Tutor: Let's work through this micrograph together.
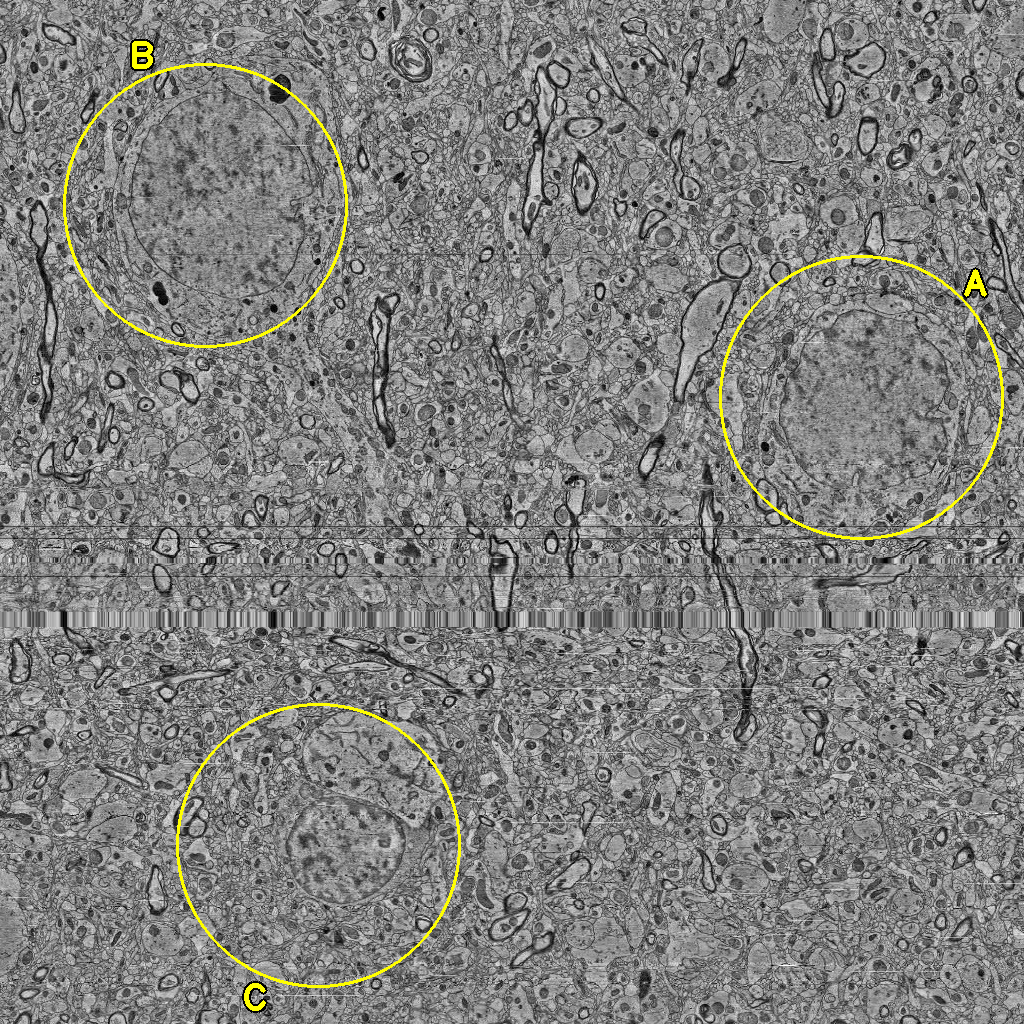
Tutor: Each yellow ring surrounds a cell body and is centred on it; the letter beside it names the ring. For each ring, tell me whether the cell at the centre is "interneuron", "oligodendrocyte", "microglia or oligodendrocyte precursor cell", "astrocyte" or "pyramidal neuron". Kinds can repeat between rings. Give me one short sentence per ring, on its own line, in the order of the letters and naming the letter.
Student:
The ring labelled A is centred on an interneuron.
The ring labelled B is centred on a pyramidal neuron.
The ring labelled C is centred on an oligodendrocyte.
